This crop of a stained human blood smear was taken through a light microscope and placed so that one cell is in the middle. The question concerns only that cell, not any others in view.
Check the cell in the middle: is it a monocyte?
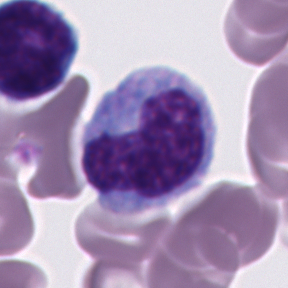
yes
